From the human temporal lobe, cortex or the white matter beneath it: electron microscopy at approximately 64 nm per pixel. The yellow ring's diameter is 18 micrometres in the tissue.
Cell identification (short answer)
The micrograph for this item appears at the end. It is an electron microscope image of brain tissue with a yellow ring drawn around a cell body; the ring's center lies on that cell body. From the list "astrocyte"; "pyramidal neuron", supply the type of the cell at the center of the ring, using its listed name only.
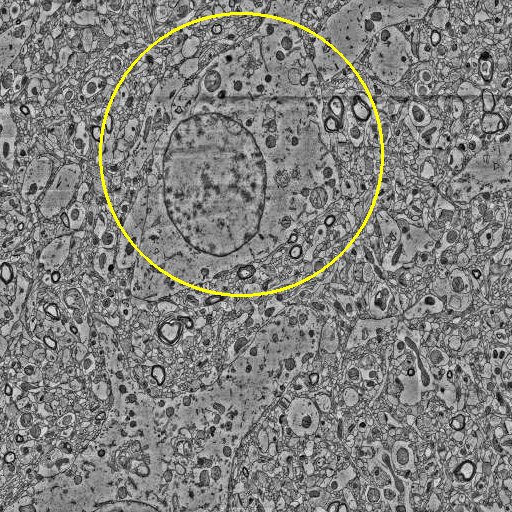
pyramidal neuron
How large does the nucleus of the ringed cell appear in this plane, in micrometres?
The nucleus comes to roughly 9 by 7 micrometres in this plane.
